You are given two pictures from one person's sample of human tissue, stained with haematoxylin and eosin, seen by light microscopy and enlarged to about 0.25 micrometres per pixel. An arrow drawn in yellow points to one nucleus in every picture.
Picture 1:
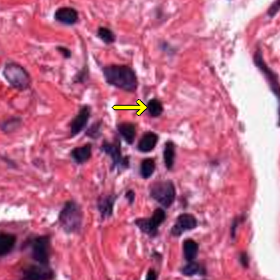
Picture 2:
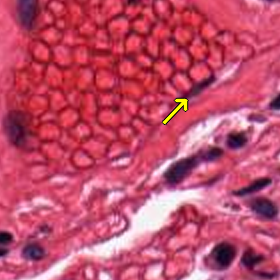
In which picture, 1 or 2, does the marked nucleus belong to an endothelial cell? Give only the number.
2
